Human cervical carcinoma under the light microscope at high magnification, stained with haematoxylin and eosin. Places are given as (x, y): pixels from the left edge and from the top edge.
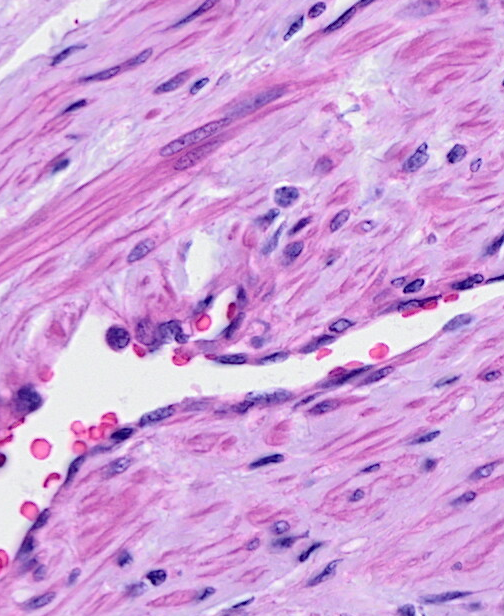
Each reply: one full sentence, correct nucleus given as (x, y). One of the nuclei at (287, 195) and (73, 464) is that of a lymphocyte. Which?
The nucleus contained in a lymphocyte is the one at (287, 195).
